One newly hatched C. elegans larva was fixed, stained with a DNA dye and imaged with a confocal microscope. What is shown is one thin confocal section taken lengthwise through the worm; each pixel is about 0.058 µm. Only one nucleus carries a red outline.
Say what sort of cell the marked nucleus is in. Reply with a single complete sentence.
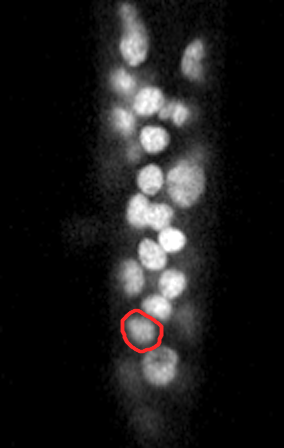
The nucleus comes from a neuron.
